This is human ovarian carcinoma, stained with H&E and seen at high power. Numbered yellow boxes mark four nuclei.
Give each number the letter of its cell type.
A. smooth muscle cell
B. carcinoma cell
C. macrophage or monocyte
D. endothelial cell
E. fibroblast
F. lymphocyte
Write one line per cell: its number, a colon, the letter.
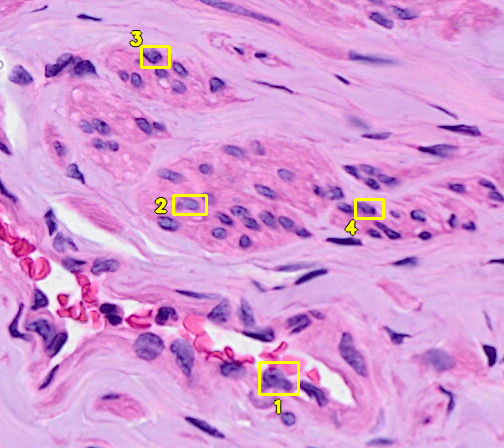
1: D
2: A
3: A
4: A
